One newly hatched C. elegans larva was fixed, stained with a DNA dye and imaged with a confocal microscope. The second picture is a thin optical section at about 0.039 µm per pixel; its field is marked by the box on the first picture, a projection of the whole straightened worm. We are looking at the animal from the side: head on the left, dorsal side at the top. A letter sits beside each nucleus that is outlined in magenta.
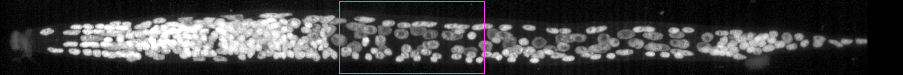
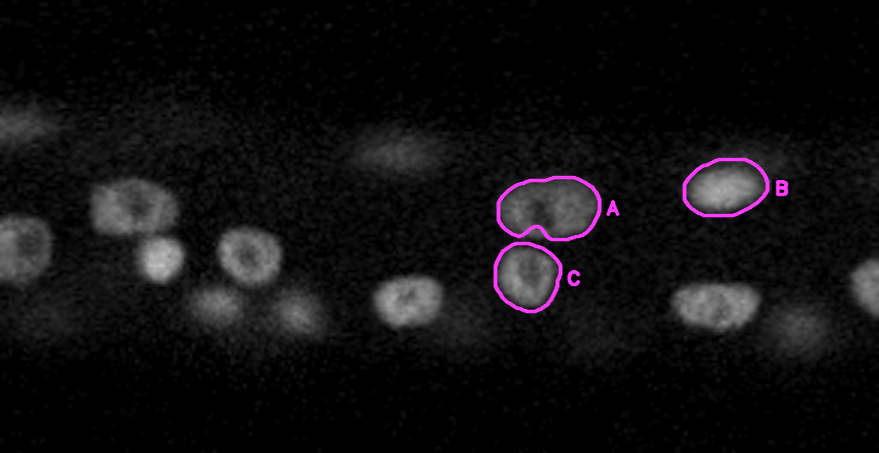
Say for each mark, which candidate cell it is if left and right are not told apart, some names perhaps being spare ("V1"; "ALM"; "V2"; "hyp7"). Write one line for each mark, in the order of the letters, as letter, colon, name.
A: hyp7
B: ALM
C: V2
